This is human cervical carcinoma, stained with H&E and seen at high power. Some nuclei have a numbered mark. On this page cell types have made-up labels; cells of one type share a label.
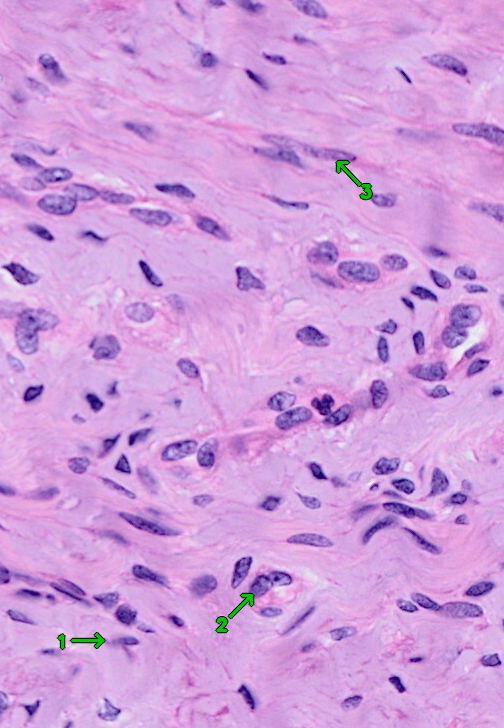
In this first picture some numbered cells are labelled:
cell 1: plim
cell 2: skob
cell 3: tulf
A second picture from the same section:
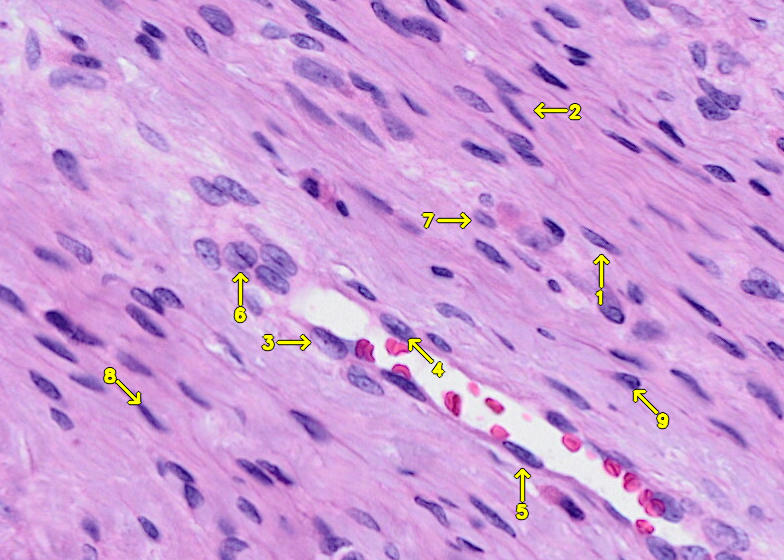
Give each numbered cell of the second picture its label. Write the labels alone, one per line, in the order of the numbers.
plim
plim
skob
skob
skob
skob
tulf
plim
plim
